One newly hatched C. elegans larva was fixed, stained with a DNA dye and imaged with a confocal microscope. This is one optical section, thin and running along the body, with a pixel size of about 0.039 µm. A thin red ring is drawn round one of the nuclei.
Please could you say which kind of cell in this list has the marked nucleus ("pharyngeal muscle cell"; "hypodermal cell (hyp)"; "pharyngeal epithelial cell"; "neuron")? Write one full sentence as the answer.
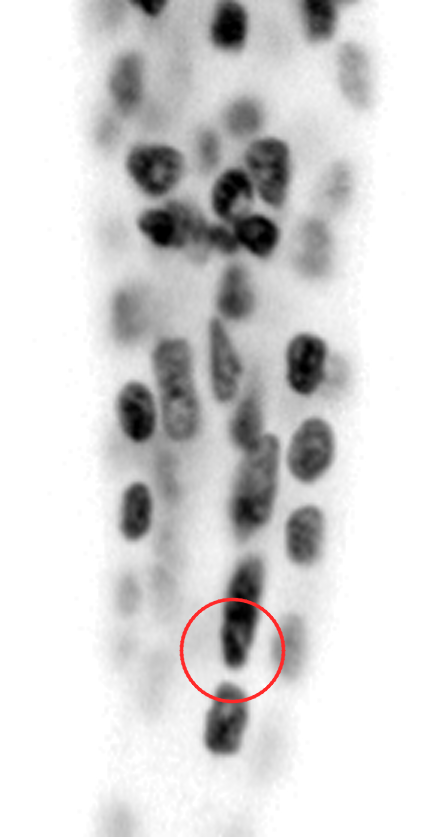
It is the nucleus of a pharyngeal muscle cell.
